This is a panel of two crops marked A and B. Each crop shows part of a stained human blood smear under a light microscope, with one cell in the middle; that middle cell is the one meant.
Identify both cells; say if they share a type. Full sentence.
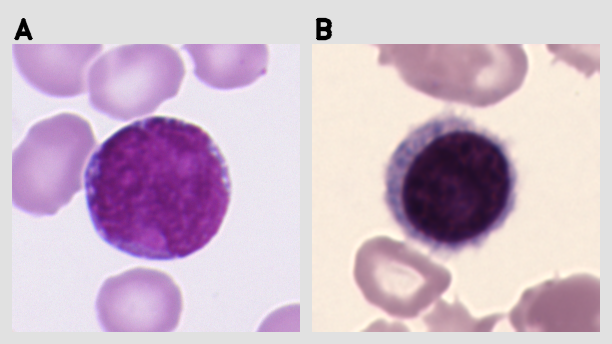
No, a myeloblast is depicted by crop A, a hairy cell by crop B.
